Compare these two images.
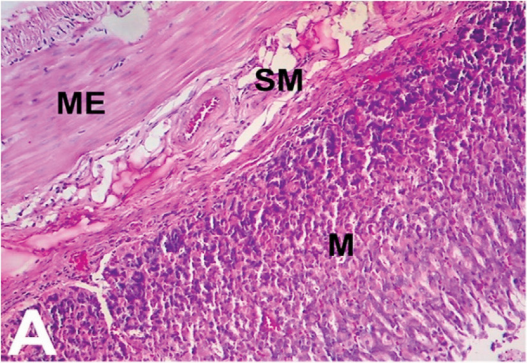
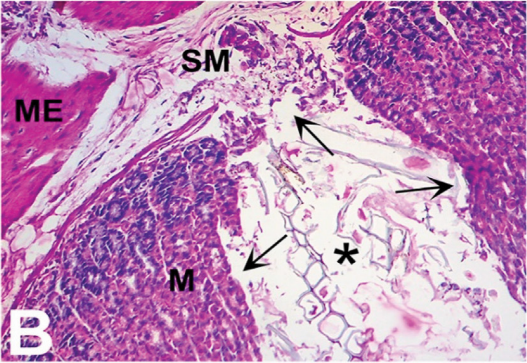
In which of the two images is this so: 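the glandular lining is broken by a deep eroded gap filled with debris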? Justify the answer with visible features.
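The second image. Second image: a wide gap filled with loose fragmented material splits the glandular layer. First image: the glandular layer is continuous, with closely packed glands and no gap.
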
